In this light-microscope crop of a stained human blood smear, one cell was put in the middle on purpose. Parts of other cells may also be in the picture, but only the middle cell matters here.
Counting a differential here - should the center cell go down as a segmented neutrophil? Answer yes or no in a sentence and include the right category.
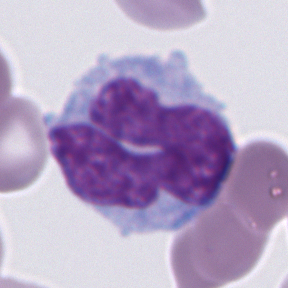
No, the cell found centrally in the crop is a monocyte, not a segmented neutrophil.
